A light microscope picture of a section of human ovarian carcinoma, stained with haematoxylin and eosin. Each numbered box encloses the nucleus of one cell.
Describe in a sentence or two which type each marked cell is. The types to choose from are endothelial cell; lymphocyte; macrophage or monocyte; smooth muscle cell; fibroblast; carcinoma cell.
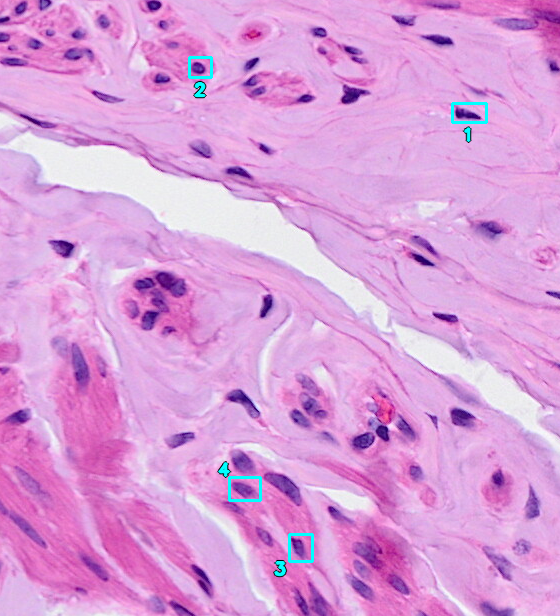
Cell 1 is a fibroblast, cell 2 is a smooth muscle cell, cell 3 is a smooth muscle cell and cell 4 is a smooth muscle cell.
